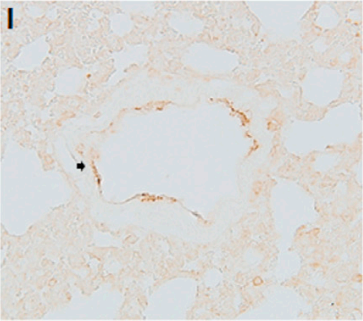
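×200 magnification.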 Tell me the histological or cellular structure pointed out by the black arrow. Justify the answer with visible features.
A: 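The arrow points at the wall of a large rounded lumen. The lumen is lined by a thin wall with a brown-stained inner layer. So: pulmonary vessels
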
